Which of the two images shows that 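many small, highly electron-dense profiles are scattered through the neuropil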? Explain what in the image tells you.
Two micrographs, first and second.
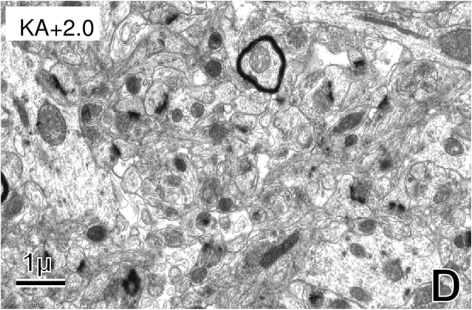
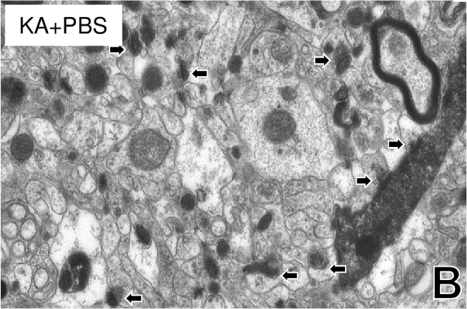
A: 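The second image. Second image: numerous small, very dark profiles and a large dark elongated profile lie among the neuropil processes.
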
